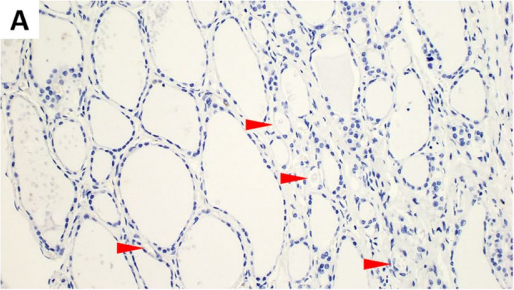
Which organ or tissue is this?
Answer: Benign thyroid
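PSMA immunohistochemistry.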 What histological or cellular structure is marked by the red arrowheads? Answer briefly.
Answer: microvessels with red blood cells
